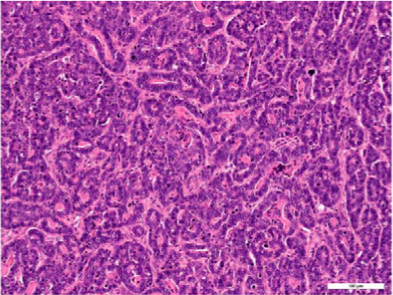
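This is a low-grade tumor in which the tumor cells are arranged in many small, closely packed tubules and gland-like structures. Each structure is lined by cells with dark purple nuclei and a modest rim of pink-purple cytoplasm. Between the structures run only thin strands of pale pink stroma, so the tissue looks crowded and cellular. The pattern repeats fairly evenly over the whole field, giving the tumor an organised, glandular look.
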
